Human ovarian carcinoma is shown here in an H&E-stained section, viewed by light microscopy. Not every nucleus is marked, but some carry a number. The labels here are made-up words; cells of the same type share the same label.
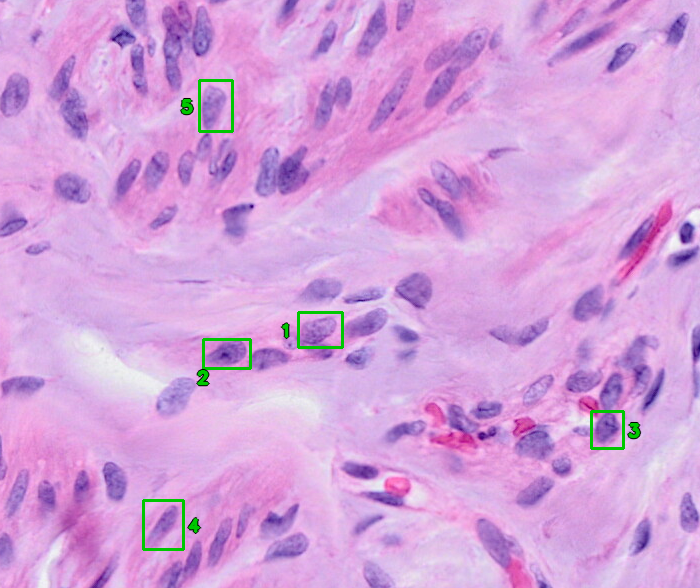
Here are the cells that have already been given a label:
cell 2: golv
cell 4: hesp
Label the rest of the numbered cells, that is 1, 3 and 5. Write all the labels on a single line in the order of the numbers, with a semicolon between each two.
golv; golv; hesp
